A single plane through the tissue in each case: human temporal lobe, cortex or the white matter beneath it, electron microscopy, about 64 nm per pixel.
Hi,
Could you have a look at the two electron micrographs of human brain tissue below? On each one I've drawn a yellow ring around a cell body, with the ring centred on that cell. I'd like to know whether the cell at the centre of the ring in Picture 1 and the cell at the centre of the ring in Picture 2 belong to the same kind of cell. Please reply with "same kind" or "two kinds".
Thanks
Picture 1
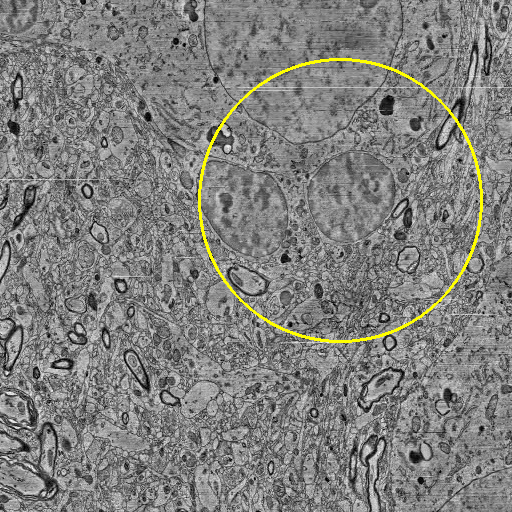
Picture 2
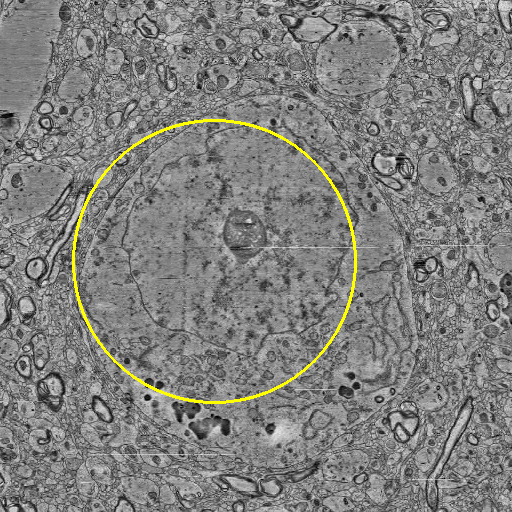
two kinds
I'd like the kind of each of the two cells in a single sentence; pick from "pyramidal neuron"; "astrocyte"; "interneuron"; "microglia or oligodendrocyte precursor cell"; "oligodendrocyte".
The first ring marks an oligodendrocyte, and the second ring marks a pyramidal neuron.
